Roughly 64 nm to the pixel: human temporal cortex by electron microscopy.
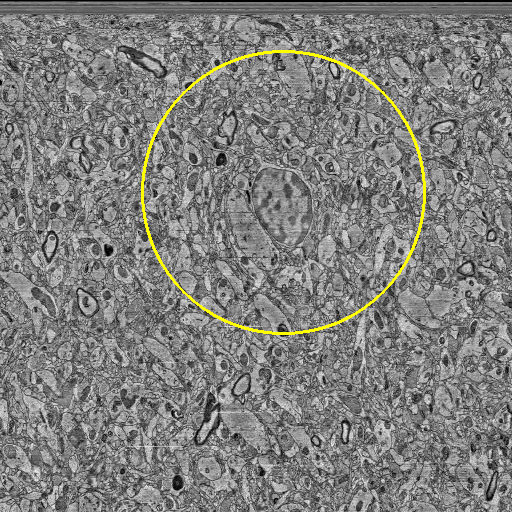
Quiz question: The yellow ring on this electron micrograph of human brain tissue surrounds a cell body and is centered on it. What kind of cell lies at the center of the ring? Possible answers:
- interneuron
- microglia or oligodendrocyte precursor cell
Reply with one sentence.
The ring's center lies on a microglial cell or oligodendrocyte precursor cell.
